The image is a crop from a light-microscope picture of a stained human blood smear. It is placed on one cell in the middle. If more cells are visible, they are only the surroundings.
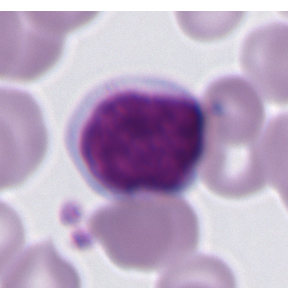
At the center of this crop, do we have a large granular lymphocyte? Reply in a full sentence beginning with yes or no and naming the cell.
Yes, the middle cell here is a large granular lymphocyte.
